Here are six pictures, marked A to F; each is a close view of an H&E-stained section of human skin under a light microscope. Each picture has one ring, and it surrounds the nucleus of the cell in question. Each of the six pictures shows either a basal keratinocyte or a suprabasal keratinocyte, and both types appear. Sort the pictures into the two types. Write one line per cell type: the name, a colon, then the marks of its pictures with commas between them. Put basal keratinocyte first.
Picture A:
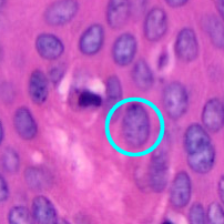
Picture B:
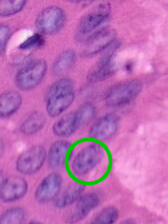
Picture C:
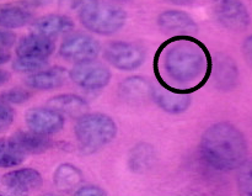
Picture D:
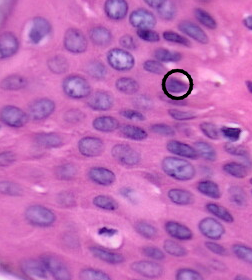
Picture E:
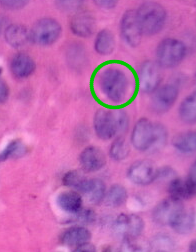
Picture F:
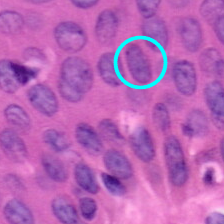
basal keratinocyte: A, B, D, E
suprabasal keratinocyte: C, F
